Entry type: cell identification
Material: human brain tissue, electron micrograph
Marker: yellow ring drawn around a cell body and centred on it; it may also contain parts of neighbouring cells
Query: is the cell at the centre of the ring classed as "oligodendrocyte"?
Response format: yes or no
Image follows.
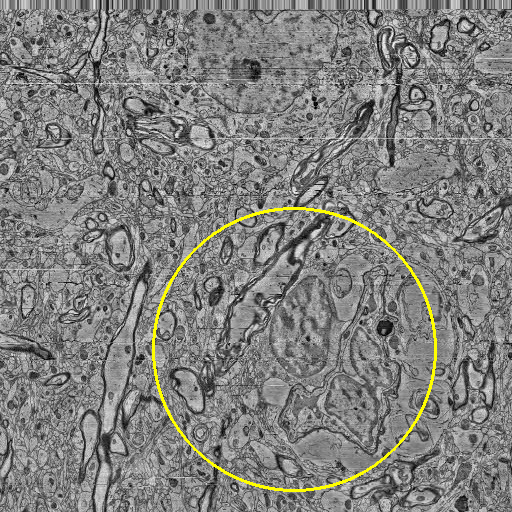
yes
